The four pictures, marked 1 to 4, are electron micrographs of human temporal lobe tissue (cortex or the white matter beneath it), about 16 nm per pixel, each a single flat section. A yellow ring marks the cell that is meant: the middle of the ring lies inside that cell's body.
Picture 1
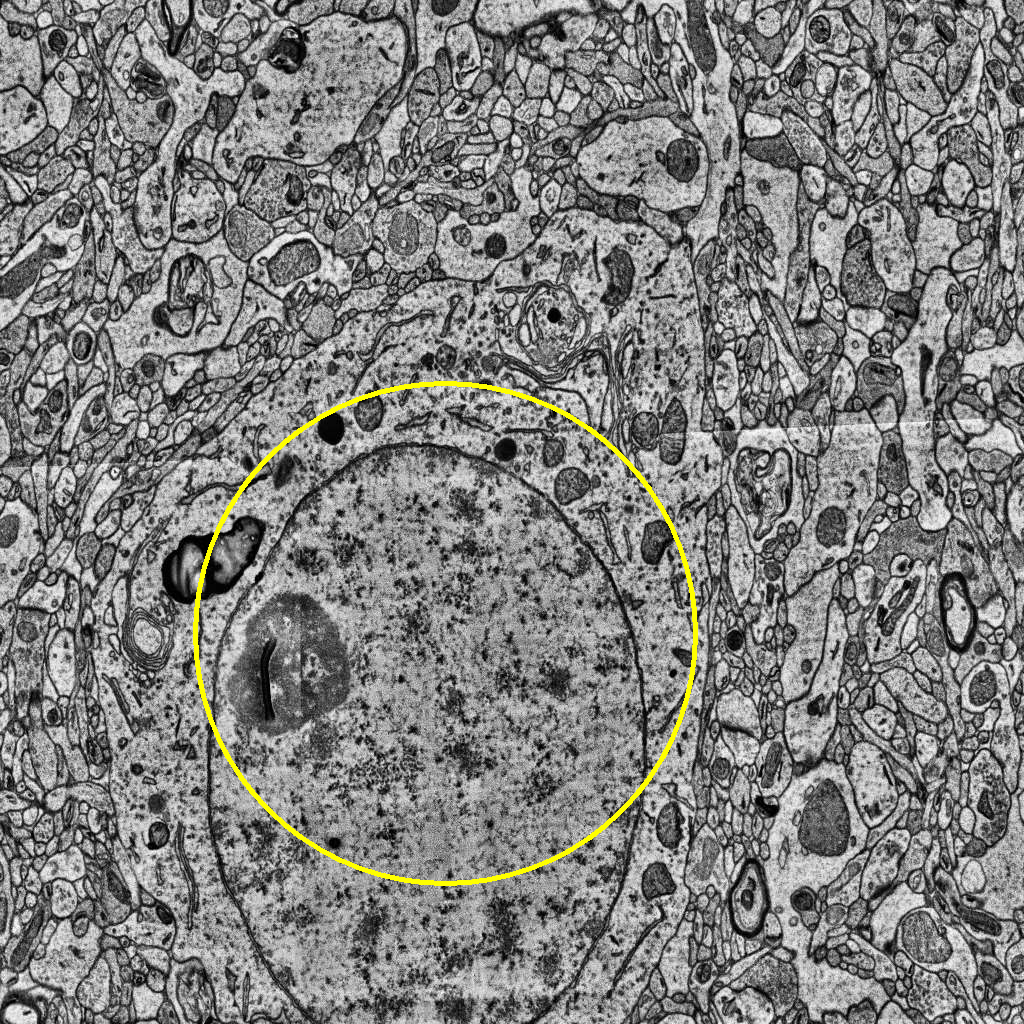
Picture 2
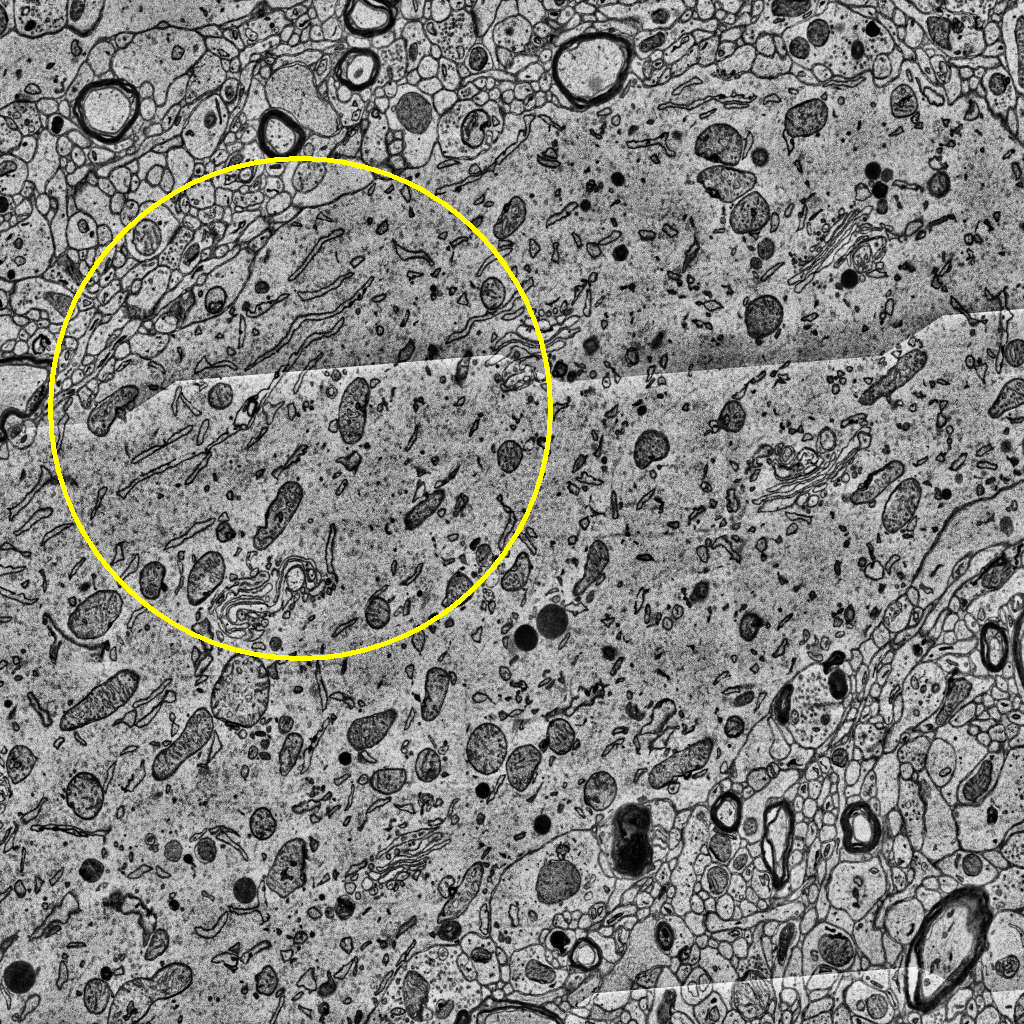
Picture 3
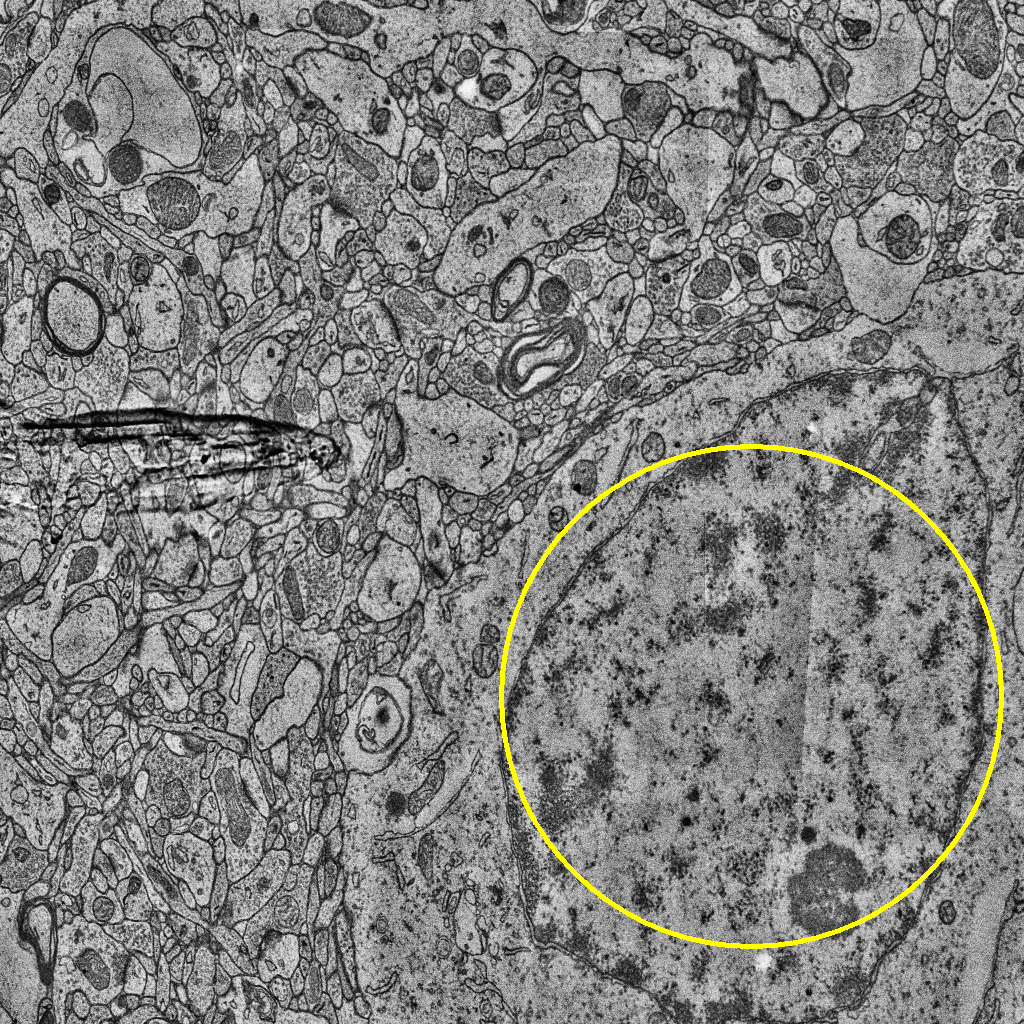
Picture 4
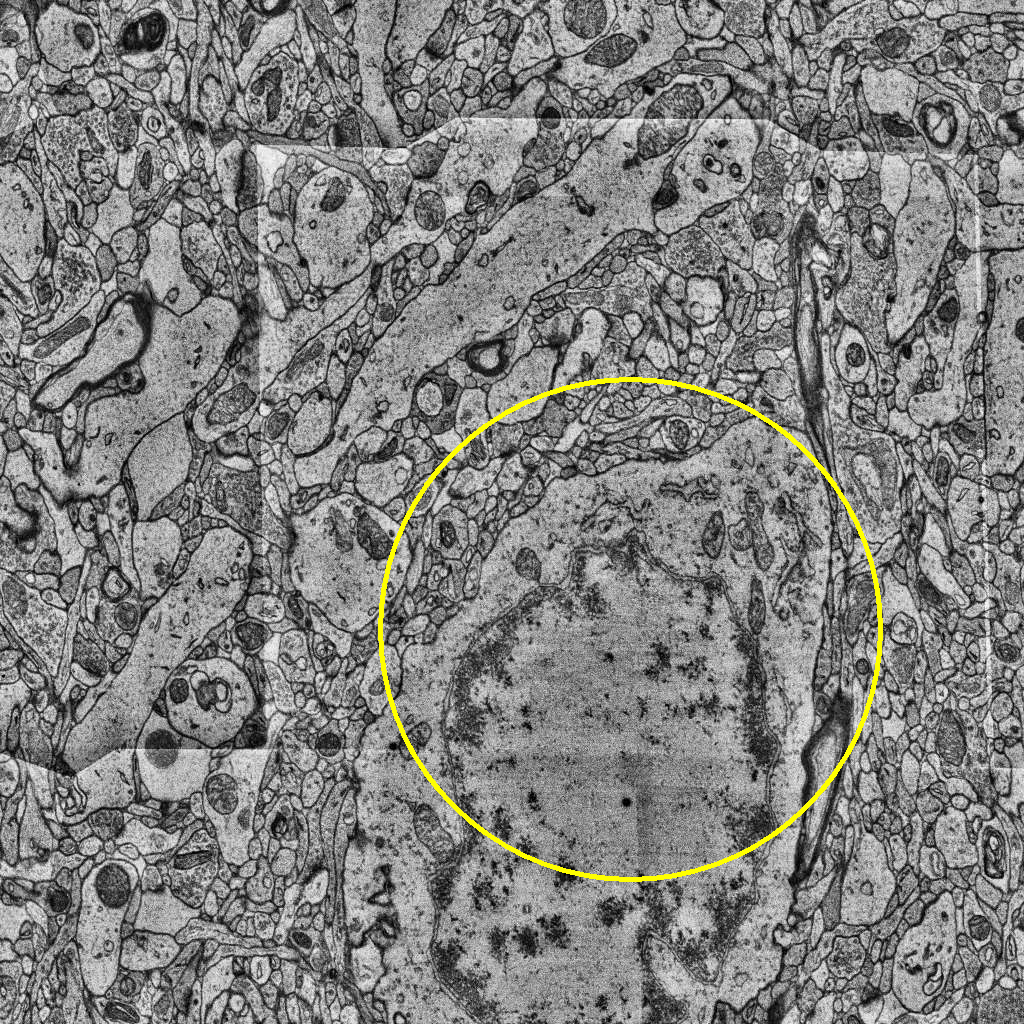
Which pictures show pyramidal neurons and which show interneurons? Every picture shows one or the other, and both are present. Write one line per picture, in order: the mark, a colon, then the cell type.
1: pyramidal neuron
2: pyramidal neuron
3: interneuron
4: interneuron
